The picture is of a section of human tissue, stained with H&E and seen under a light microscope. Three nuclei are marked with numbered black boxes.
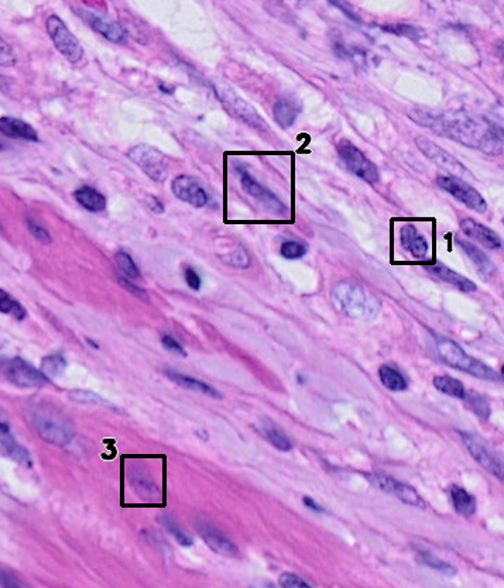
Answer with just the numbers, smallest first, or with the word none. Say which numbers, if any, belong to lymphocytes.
1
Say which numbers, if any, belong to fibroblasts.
2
